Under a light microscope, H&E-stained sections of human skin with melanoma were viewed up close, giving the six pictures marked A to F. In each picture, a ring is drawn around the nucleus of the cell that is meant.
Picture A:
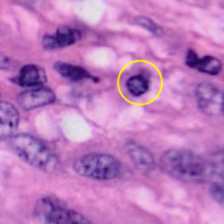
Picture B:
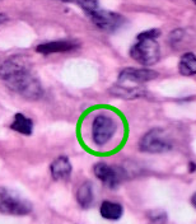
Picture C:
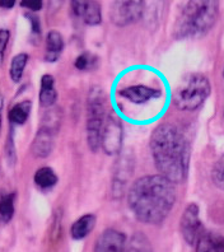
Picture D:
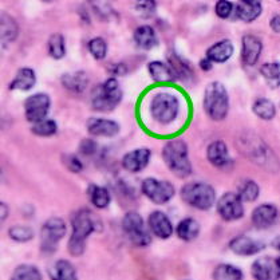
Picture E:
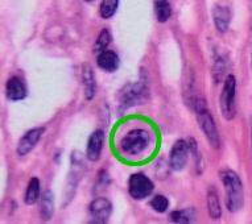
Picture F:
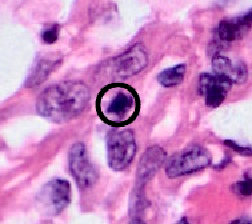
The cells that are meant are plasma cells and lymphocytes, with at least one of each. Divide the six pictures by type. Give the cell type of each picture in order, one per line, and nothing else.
plasma cell
lymphocyte
lymphocyte
lymphocyte
plasma cell
lymphocyte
